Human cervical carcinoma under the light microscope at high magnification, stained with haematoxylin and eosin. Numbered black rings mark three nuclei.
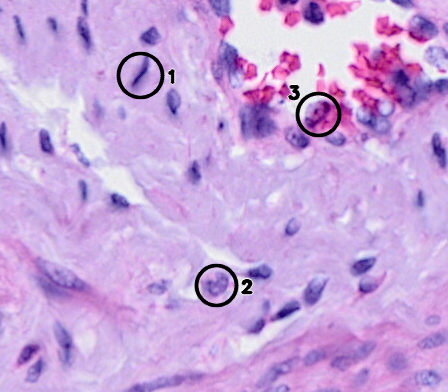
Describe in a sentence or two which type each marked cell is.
Cell 1 is a fibroblast. Cell 2 is a macrophage or monocyte. Cell 3 is an endothelial cell.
